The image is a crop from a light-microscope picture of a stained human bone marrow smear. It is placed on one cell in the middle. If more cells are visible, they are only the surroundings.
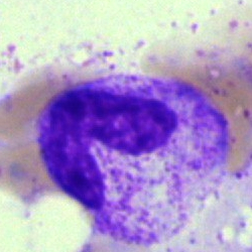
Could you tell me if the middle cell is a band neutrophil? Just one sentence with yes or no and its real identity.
Yes, a band neutrophil is what the central cell is.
